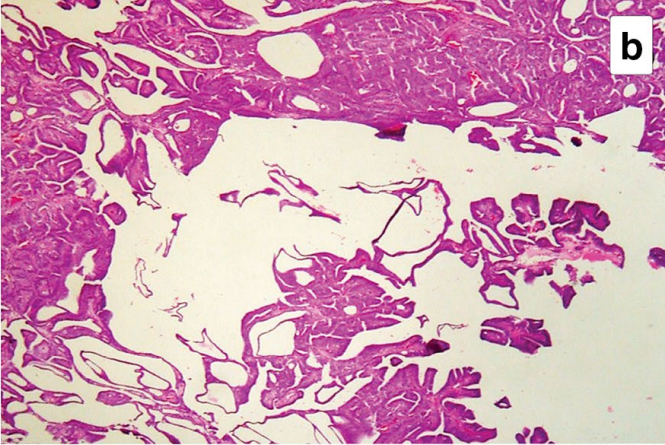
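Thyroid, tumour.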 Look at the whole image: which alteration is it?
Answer: Papillary growth pattern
